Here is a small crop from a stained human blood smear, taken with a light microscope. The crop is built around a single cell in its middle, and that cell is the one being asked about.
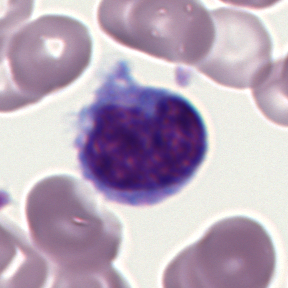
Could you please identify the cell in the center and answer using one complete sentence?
By classification, the middle cell of this crop is a monocyte.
